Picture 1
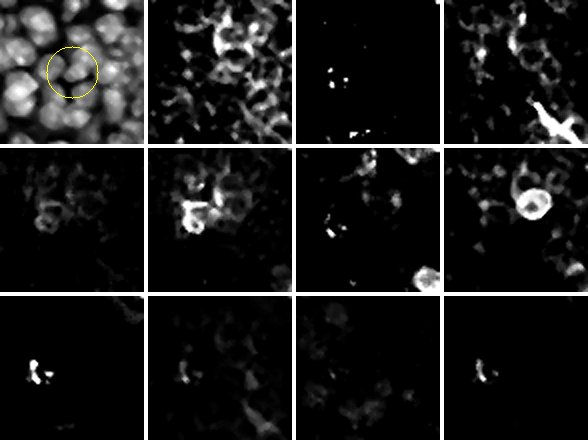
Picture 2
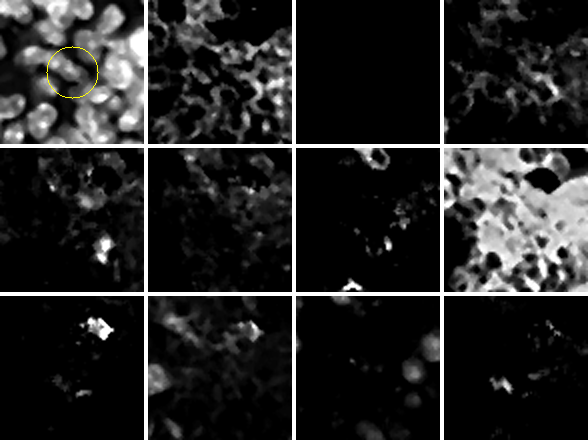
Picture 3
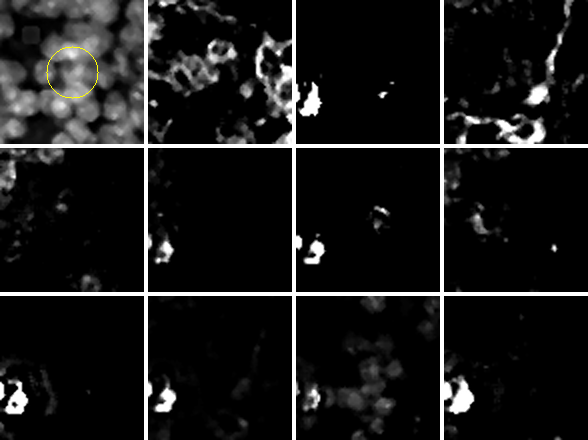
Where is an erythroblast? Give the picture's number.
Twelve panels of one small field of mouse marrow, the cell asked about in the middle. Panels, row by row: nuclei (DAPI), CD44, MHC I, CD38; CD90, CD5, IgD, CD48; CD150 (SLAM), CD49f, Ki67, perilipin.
3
